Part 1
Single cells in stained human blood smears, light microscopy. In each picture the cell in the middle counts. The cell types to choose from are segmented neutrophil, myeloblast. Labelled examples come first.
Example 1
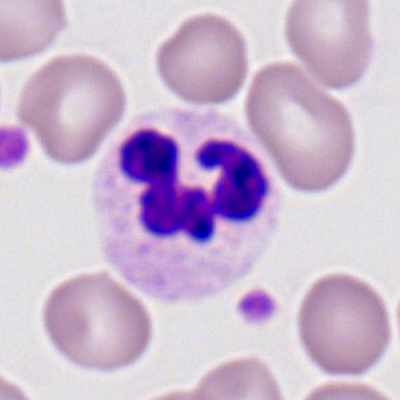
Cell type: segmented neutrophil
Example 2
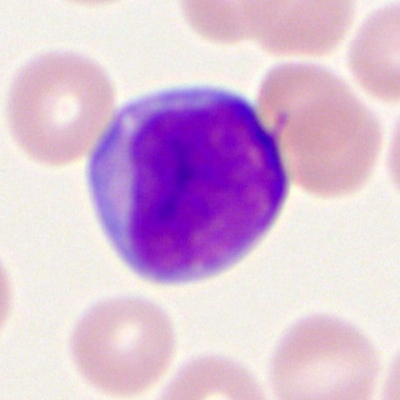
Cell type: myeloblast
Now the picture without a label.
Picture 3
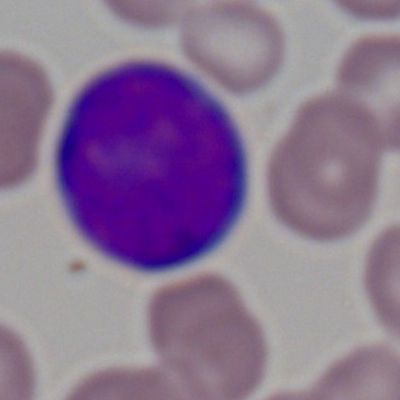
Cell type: myeloblast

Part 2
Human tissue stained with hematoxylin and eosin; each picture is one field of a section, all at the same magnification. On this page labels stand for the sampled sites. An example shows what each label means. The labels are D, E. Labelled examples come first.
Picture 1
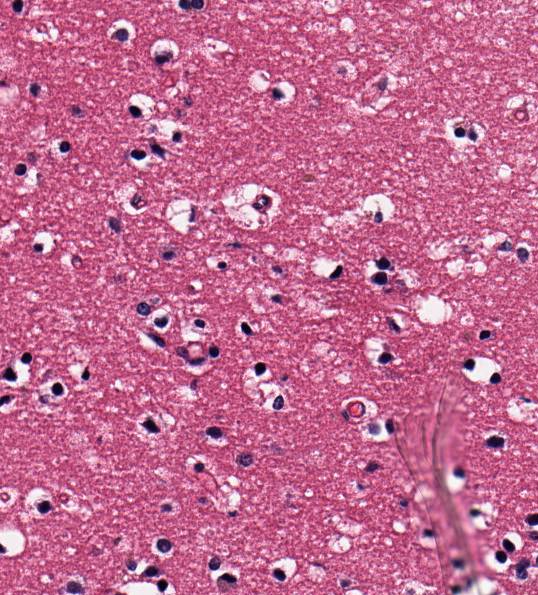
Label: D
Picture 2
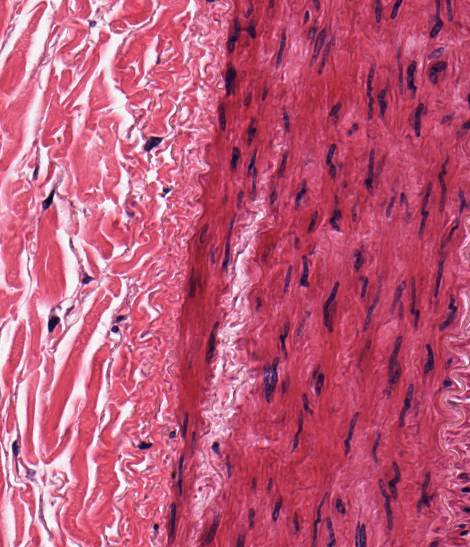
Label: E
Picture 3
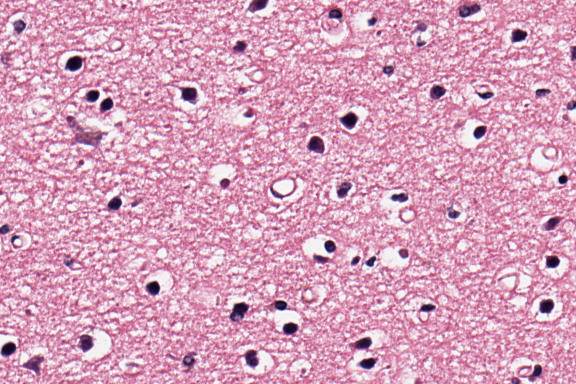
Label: D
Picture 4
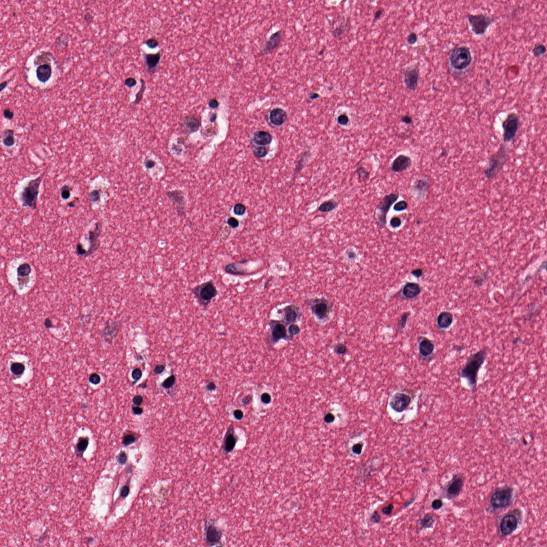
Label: D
